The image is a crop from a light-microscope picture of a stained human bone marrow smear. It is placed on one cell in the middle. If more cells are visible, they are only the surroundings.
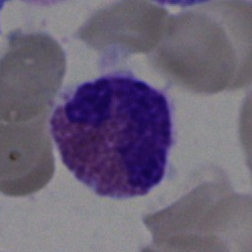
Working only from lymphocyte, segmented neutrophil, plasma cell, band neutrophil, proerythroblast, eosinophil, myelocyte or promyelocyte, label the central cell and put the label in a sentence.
Standing at the centre of this crop is an eosinophil.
